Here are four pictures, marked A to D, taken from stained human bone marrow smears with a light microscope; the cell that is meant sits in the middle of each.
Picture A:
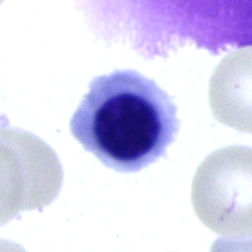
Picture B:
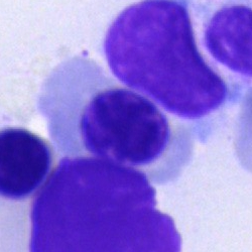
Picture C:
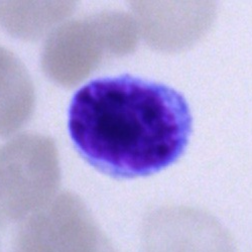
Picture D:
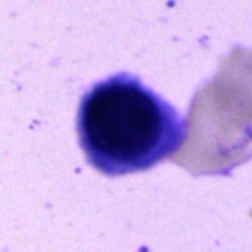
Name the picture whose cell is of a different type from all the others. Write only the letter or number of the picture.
C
